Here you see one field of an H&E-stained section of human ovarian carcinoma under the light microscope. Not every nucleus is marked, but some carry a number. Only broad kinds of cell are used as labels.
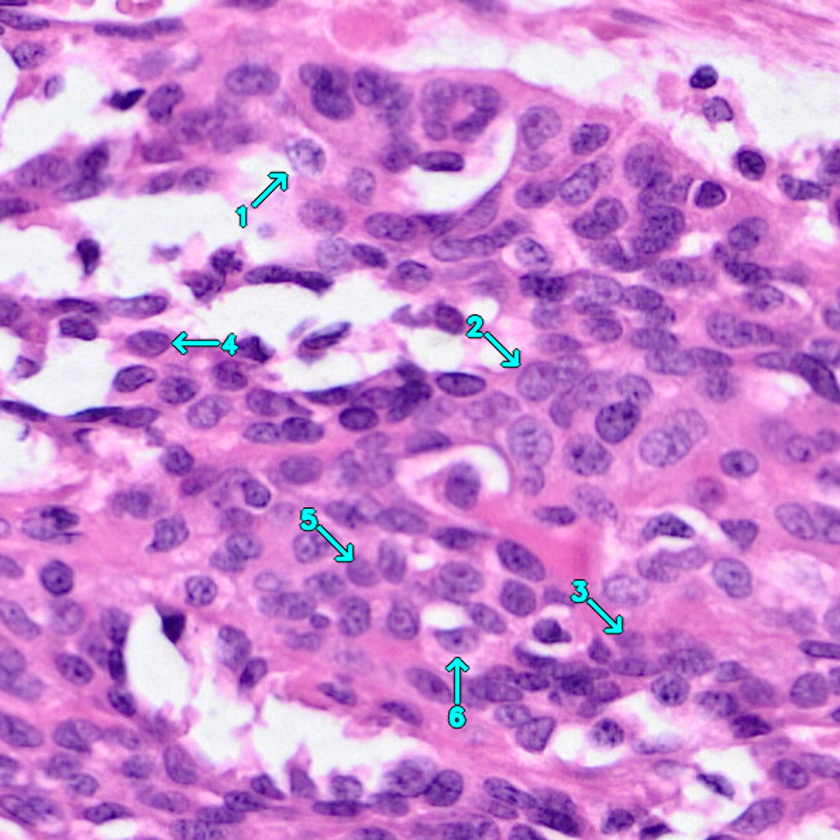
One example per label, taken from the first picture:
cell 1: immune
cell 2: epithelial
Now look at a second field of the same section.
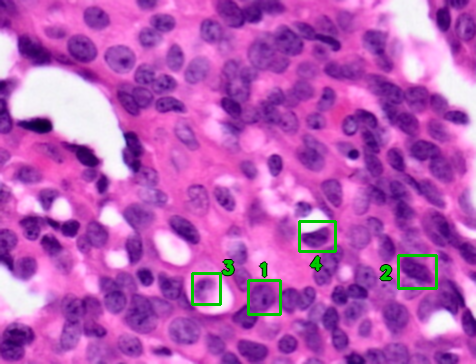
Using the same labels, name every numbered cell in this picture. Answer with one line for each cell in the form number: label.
1: epithelial
2: epithelial
3: immune
4: epithelial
